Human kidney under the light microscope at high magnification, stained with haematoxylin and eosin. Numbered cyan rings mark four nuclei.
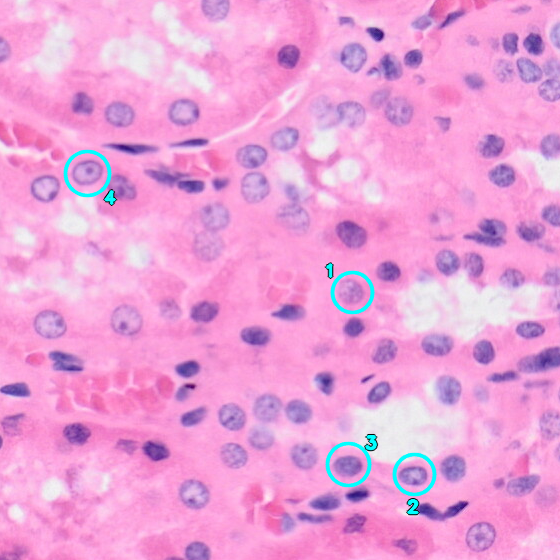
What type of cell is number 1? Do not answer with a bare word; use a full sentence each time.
Identified as a loop of Henle or distal tubule cell is the cell bearing the number 1.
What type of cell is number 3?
The cell assigned the number 3 is a loop of Henle or distal tubule cell.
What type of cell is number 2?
In the tissue shown, cell 2 is a loop of Henle or distal tubule cell.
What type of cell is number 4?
In the tissue shown, cell 4 is a proximal tubule cell.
